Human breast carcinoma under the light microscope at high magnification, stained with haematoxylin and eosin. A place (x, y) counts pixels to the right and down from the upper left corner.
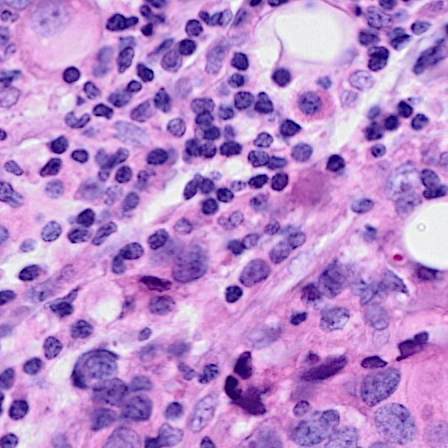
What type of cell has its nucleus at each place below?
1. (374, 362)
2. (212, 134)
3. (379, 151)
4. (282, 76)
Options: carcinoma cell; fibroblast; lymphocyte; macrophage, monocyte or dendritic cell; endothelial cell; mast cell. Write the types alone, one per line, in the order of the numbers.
carcinoma cell
lymphocyte
lymphocyte
lymphocyte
